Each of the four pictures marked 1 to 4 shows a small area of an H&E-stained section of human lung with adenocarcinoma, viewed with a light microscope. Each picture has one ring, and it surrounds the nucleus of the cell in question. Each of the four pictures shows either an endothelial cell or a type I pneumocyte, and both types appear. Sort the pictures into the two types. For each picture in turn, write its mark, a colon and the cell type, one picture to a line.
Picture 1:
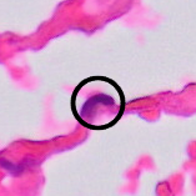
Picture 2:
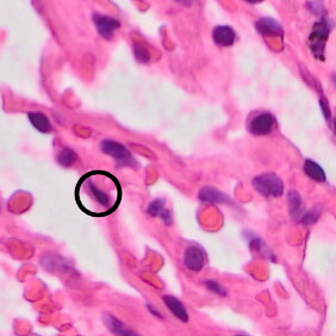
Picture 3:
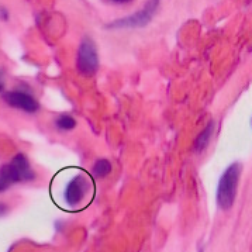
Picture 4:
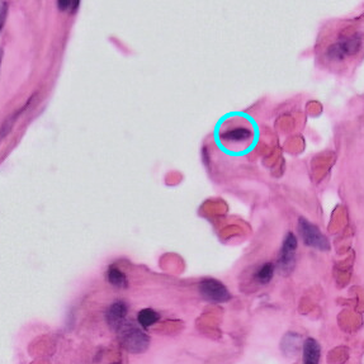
1: type I pneumocyte
2: endothelial cell
3: type I pneumocyte
4: endothelial cell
